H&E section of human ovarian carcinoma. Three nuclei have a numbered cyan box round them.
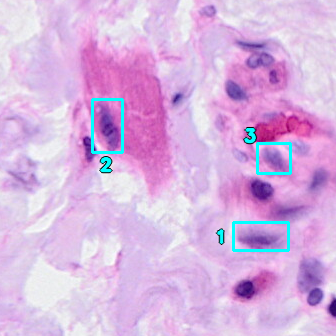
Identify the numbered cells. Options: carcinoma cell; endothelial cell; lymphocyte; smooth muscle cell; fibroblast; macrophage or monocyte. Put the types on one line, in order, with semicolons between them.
fibroblast; smooth muscle cell; endothelial cell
